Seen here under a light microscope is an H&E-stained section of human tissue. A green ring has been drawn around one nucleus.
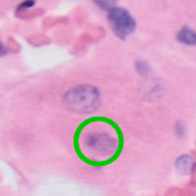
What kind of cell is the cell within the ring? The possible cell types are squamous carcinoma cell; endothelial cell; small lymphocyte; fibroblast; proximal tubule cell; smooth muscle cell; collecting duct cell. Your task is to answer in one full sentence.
In this tissue sample, the cell within the ring is a proximal tubule cell.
